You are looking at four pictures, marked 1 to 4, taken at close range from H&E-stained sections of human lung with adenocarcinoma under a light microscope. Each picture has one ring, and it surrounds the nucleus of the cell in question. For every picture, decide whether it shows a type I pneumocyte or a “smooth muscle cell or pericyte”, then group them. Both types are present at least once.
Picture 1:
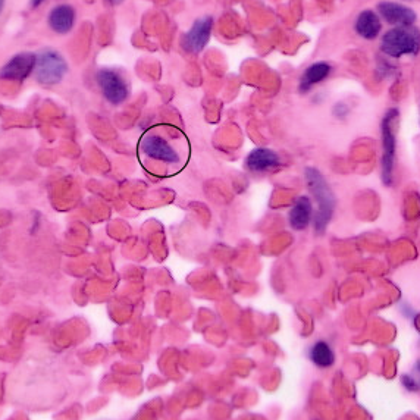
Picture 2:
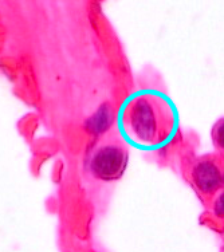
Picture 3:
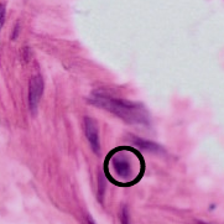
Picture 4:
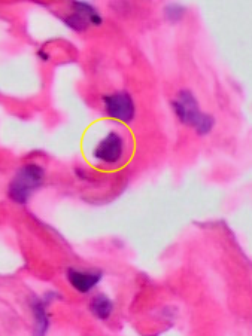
1: type I pneumocyte
2: type I pneumocyte
3: smooth muscle cell or pericyte
4: type I pneumocyte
